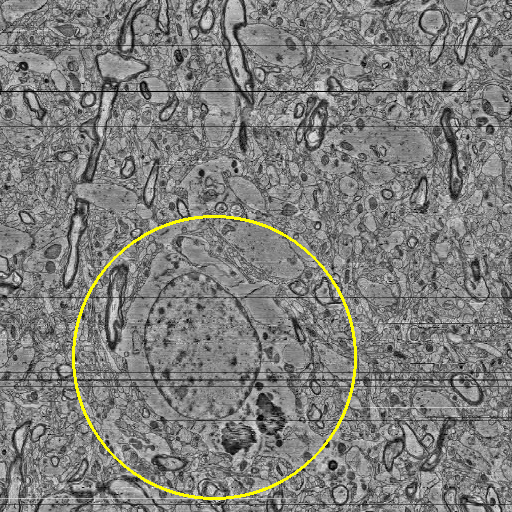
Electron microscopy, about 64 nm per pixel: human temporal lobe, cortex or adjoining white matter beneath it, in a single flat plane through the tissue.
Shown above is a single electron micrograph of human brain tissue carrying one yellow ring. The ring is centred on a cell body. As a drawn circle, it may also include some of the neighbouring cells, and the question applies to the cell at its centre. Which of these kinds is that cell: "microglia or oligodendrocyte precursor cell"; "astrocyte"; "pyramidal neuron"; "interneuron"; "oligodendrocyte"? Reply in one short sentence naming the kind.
The cell marked by the ring is an astrocyte.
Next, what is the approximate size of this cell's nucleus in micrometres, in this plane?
The ringed cell's nucleus measures approximately 10 by 7 micrometres in this plane.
